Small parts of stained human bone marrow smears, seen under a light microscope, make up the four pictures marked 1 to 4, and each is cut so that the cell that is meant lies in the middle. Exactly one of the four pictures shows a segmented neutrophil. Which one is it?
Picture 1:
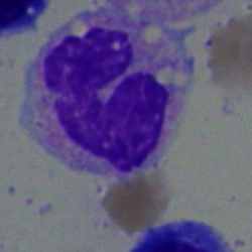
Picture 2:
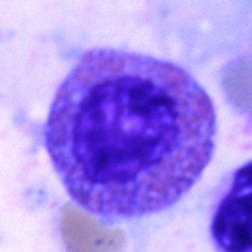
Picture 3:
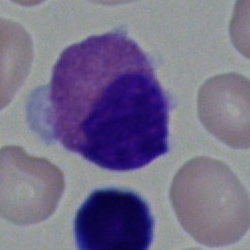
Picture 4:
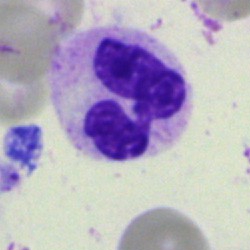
4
